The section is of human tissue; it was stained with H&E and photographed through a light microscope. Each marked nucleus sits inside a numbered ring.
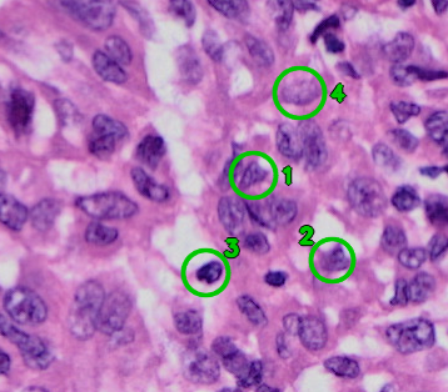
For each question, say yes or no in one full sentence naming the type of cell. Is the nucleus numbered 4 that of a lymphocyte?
No, rather than a lymphocyte, cell number 4 is a melanoma cell.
